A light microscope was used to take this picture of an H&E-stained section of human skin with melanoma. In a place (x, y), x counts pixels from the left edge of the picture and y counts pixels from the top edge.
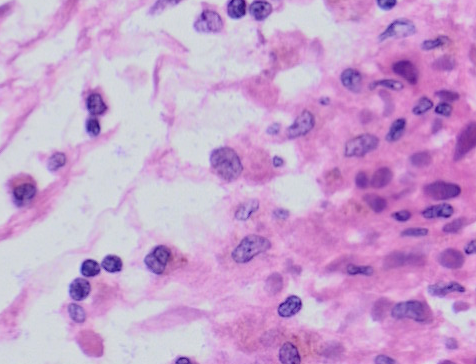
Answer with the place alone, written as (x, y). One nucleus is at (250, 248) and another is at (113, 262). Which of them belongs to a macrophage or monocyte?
(250, 248)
